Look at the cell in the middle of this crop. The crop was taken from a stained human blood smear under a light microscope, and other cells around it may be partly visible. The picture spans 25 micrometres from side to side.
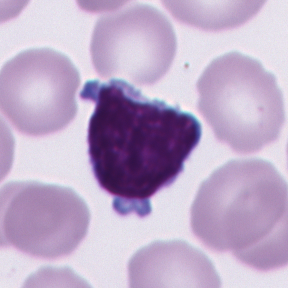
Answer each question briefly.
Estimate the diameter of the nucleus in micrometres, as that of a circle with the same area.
9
